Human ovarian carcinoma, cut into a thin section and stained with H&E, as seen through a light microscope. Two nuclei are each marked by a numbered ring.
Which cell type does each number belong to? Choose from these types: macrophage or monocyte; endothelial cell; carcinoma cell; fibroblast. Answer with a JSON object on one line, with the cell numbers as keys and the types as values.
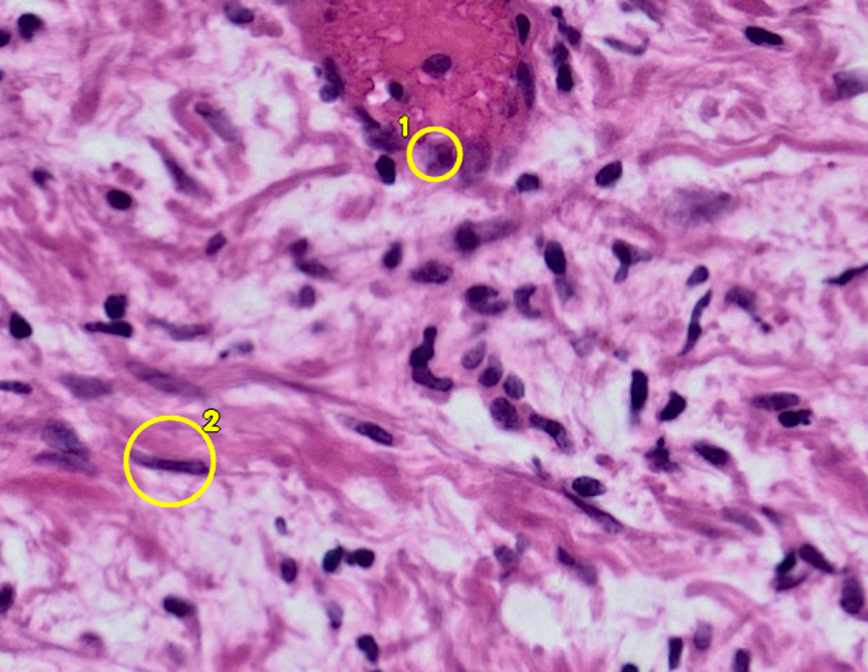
{"1": "endothelial cell", "2": "fibroblast"}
